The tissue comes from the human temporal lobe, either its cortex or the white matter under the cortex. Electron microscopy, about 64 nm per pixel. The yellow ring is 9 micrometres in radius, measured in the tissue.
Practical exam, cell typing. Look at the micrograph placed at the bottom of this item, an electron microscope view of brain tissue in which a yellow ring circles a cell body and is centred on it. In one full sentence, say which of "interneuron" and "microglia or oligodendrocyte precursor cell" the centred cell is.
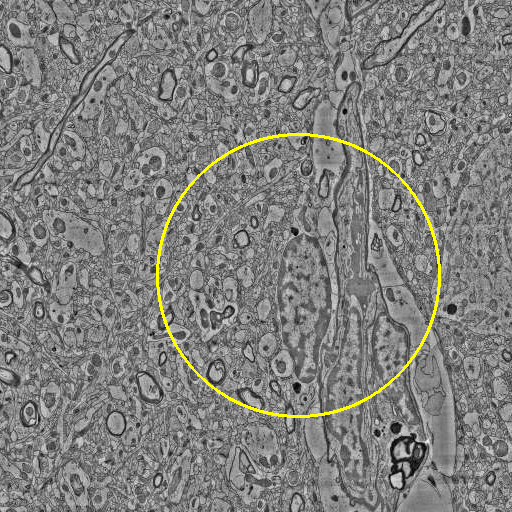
Given the options, a microglial cell or oligodendrocyte precursor cell fits the cell whose body the yellow ring is centred on.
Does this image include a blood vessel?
Yes.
